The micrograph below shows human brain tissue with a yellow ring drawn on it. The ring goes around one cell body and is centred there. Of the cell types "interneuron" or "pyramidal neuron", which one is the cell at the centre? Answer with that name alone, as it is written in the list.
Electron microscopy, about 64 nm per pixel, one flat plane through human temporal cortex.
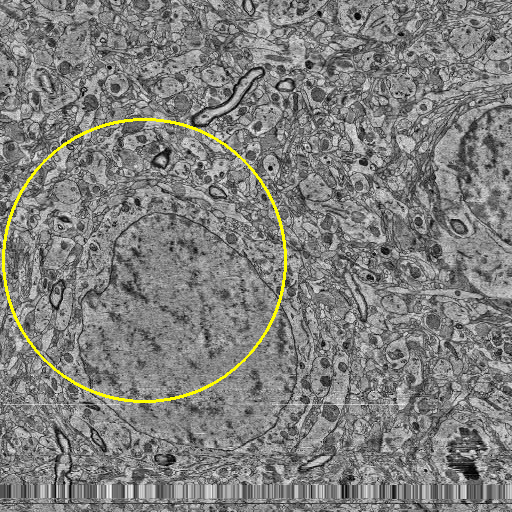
pyramidal neuron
